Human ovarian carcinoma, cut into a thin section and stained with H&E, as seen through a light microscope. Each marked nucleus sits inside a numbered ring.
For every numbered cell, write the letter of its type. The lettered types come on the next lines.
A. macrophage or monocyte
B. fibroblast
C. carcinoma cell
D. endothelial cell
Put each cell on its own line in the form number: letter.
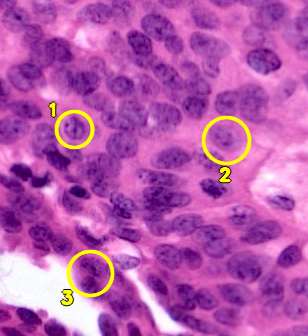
1: A
2: C
3: C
